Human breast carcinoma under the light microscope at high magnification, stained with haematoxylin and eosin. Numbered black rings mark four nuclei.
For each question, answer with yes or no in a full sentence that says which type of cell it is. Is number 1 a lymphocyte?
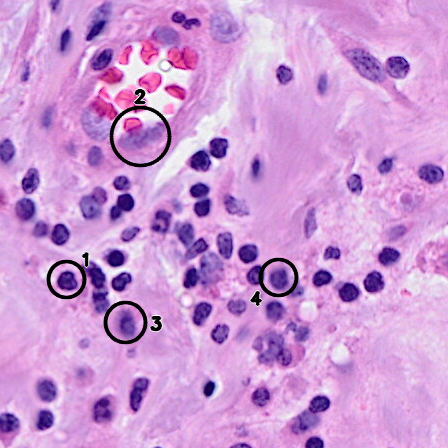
Yes. The cell carrying number 1 is a lymphocyte.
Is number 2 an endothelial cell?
Yes, cell 2 is an endothelial cell in this tissue section.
